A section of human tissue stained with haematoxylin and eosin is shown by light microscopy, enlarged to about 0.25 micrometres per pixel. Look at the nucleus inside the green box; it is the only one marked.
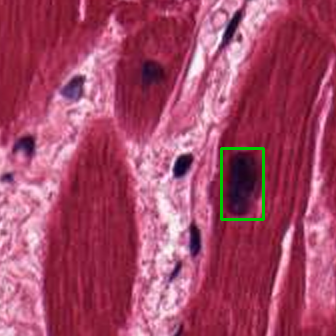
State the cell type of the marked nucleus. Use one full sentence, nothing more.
Here the marked nucleus is part of a cardiomyocyte.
